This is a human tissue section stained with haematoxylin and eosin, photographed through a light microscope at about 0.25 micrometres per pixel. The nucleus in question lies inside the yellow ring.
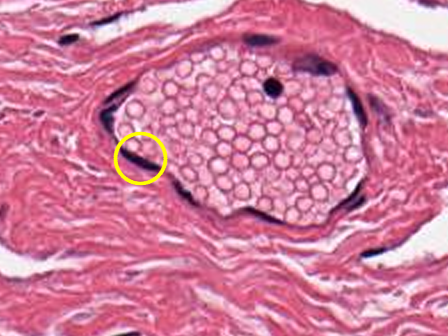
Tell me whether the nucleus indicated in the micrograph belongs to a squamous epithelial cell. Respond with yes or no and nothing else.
no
